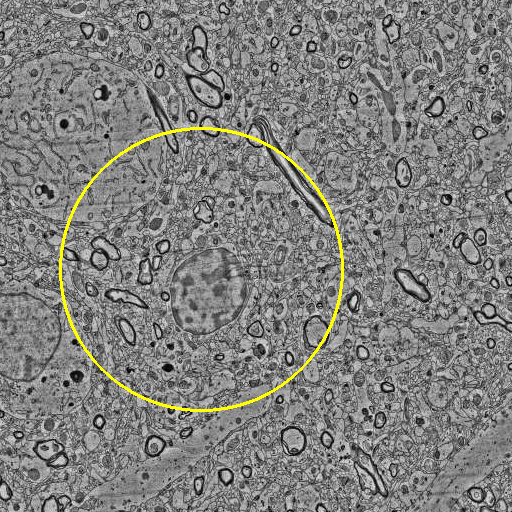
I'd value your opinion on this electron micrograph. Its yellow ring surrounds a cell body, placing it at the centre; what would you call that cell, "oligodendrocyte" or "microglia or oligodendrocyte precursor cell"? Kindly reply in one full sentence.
It is a microglial cell or oligodendrocyte precursor cell that sits centred within the yellow ring in this micrograph.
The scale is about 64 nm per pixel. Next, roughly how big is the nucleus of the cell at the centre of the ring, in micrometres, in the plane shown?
The nucleus works out at approximately 6 by 5 micrometres in this plane.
